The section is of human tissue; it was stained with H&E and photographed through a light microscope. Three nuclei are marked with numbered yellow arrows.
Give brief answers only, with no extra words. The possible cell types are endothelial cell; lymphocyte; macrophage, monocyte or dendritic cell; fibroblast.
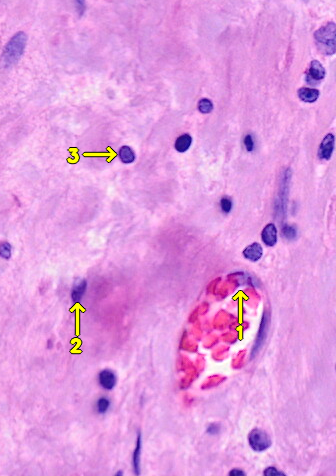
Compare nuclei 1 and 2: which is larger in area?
1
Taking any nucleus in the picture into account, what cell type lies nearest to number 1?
lymphocyte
